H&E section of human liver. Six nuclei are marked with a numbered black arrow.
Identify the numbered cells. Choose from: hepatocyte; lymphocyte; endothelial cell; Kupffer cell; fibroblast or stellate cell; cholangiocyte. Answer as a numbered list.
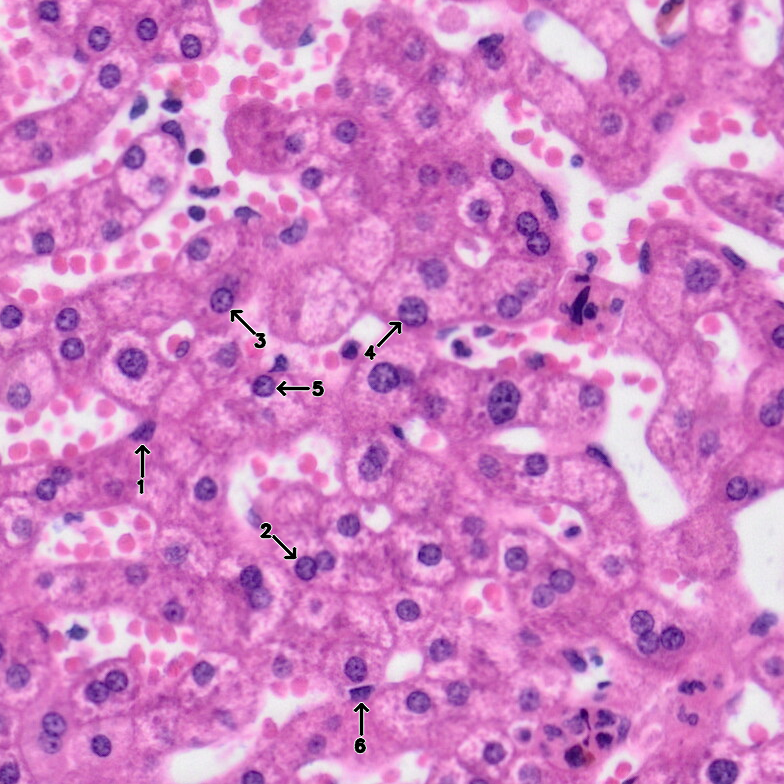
1. endothelial cell
2. hepatocyte
3. hepatocyte
4. hepatocyte
5. hepatocyte
6. fibroblast or stellate cell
